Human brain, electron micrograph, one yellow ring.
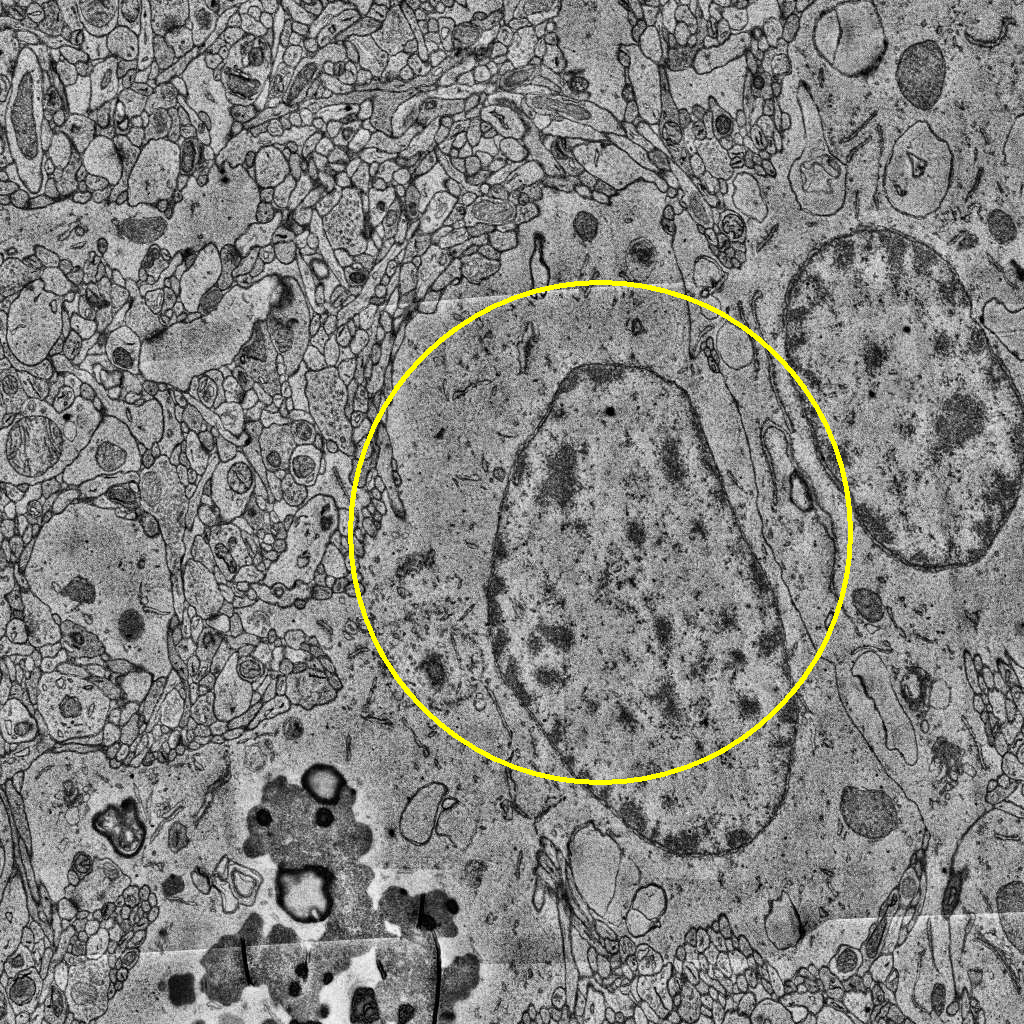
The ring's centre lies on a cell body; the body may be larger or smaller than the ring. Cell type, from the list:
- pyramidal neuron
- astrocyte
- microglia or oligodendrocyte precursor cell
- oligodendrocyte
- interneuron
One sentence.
The yellow ring's centre lies on an astrocyte.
